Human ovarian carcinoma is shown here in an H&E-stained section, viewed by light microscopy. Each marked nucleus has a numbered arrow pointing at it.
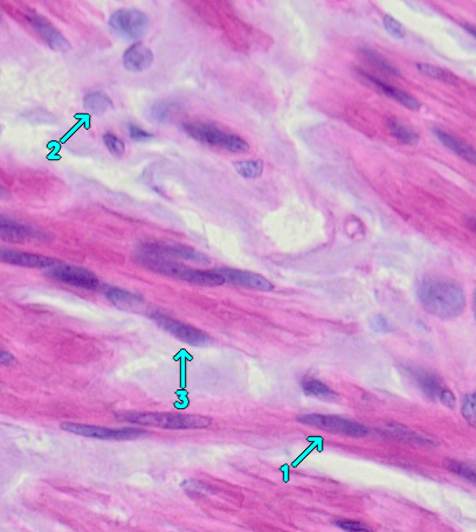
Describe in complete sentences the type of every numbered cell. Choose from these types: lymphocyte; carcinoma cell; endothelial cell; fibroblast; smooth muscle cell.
Cell 1 is a smooth muscle cell, cell 2 is a fibroblast and cell 3 is a smooth muscle cell.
